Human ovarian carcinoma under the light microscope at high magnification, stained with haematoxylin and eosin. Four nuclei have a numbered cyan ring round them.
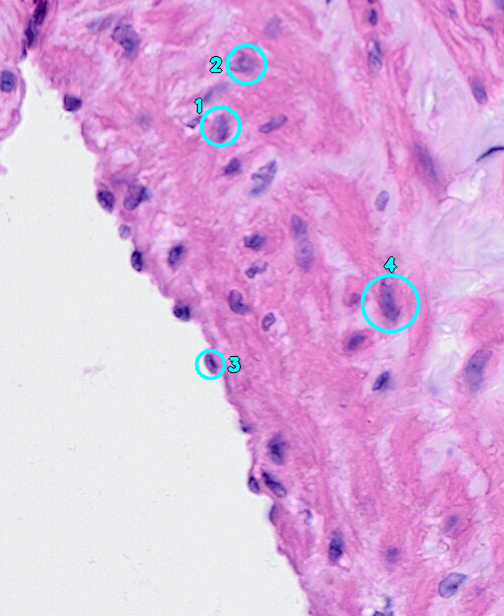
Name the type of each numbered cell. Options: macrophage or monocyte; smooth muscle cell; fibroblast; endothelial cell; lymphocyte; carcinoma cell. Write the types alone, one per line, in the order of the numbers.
smooth muscle cell
smooth muscle cell
endothelial cell
smooth muscle cell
